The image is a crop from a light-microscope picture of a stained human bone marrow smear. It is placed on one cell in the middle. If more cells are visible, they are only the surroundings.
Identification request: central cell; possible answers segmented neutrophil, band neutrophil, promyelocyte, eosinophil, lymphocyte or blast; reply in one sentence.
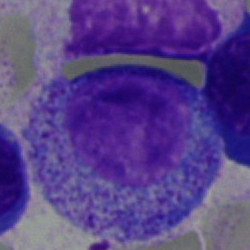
Framed in the middle of the crop is a promyelocyte.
